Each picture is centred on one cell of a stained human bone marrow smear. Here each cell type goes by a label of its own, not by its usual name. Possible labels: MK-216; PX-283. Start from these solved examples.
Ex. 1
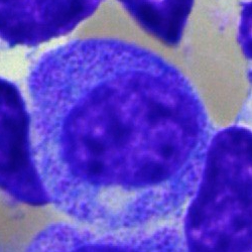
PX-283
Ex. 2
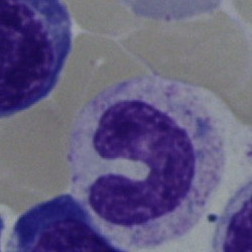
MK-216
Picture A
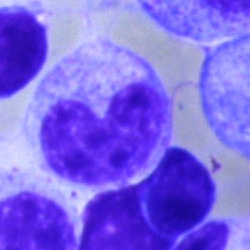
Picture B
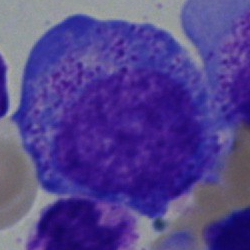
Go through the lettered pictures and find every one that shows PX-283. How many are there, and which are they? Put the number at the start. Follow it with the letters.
Count: 1 (B)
